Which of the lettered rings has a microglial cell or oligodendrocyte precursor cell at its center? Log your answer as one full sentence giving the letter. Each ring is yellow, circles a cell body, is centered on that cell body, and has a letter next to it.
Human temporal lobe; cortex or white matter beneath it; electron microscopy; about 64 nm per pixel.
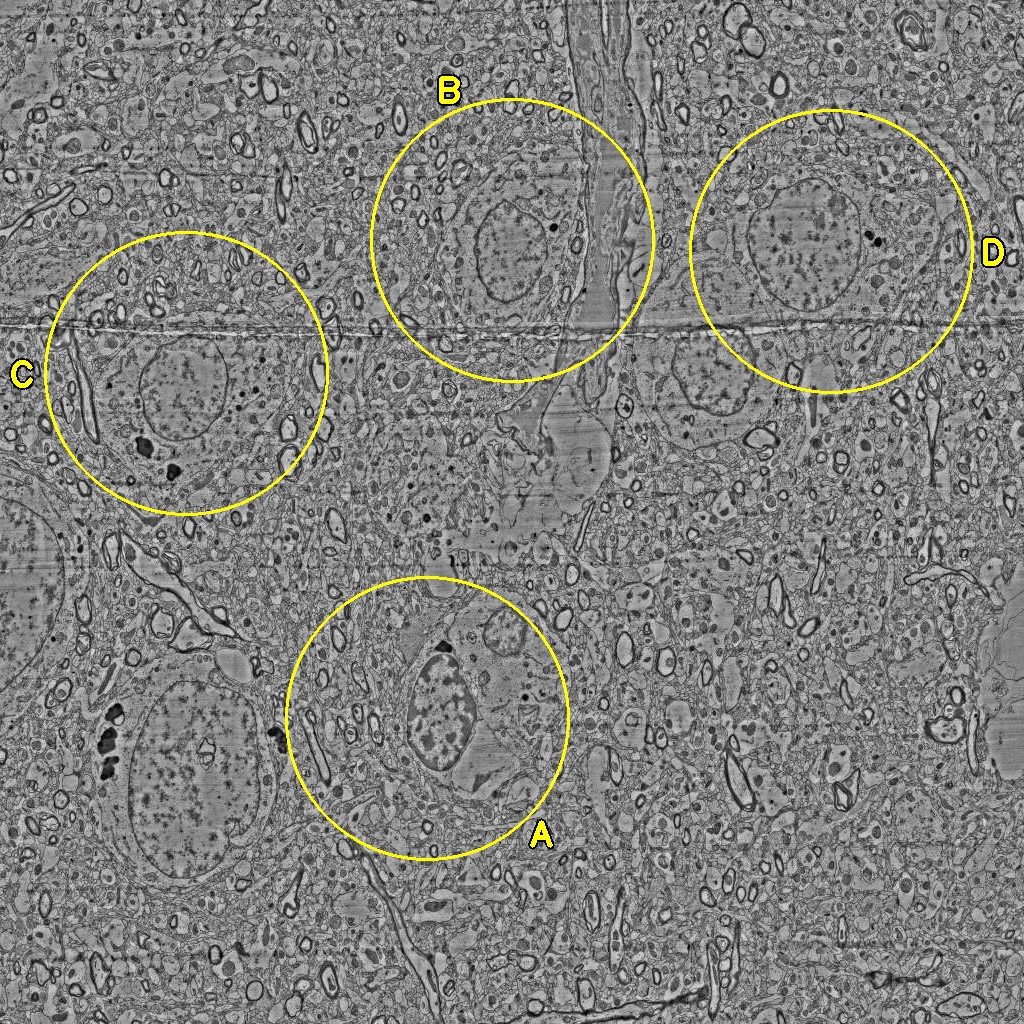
The lettered ring centered on the cell asked for is ring A.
